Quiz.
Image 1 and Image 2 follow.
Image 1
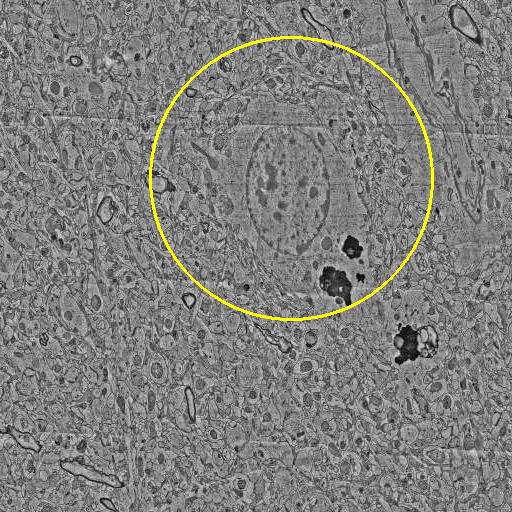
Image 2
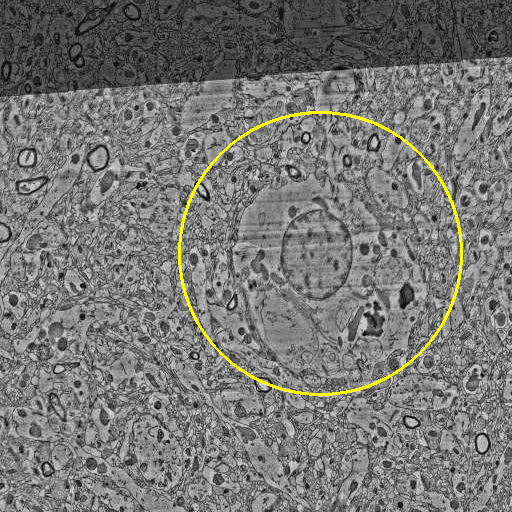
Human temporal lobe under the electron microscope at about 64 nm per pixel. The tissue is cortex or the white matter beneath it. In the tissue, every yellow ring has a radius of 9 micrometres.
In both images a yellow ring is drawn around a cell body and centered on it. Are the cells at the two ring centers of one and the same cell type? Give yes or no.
yes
